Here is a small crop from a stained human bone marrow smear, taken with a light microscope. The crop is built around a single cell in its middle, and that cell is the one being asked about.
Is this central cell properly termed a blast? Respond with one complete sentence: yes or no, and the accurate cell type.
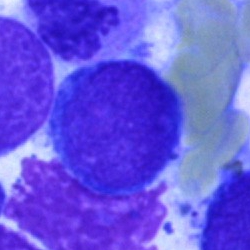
Yes, the crop's central cell is a blast.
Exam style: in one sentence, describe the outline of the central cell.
The outline traces a smooth curve with no projections along it.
